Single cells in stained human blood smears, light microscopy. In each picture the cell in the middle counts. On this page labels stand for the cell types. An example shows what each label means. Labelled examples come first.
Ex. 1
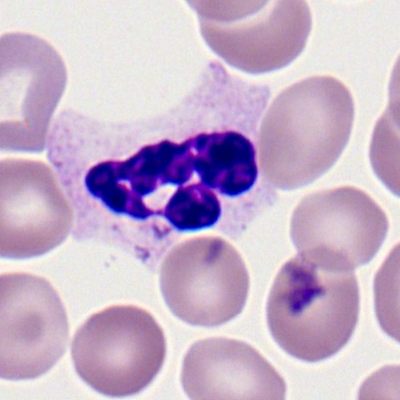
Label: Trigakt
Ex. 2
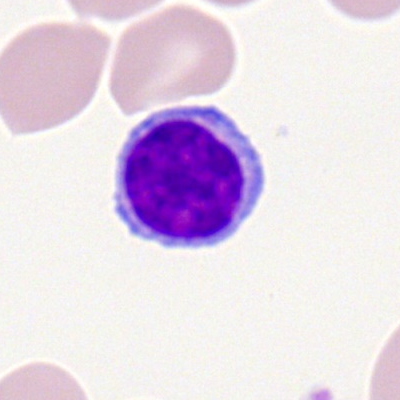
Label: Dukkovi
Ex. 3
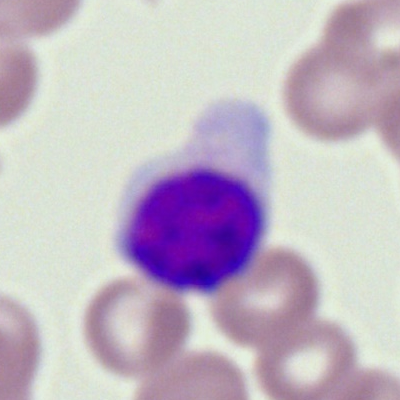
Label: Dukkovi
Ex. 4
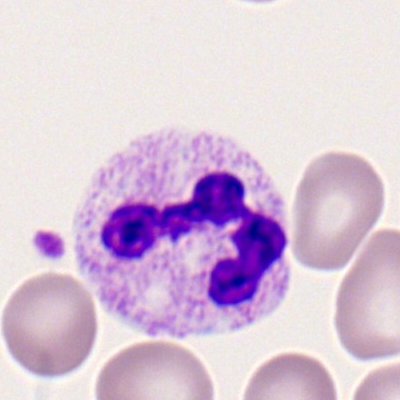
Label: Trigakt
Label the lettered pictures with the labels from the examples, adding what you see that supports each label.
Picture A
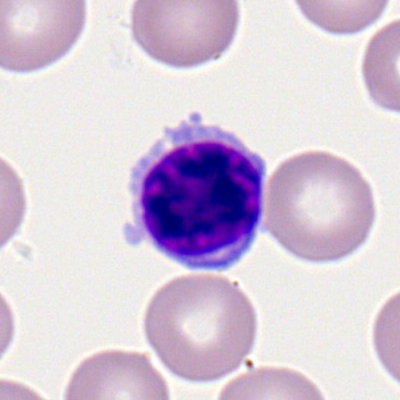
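Dukkovi. Reason: The cytoplasm forms only a thin rim around the nucleus.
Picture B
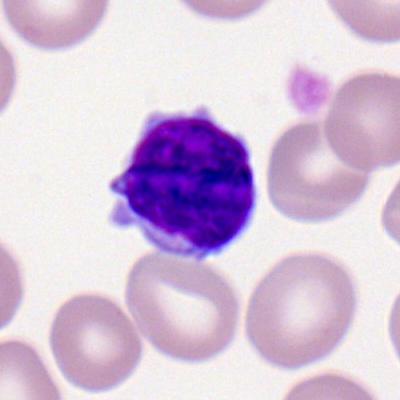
Dukkovi. Reason: The nucleus fills almost the whole cell.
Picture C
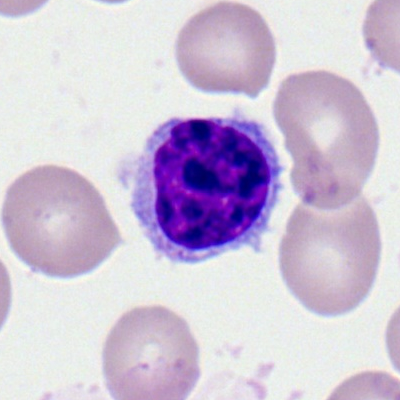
Dukkovi. Reason: The cytoplasm forms a narrow rim that is widest on the left side.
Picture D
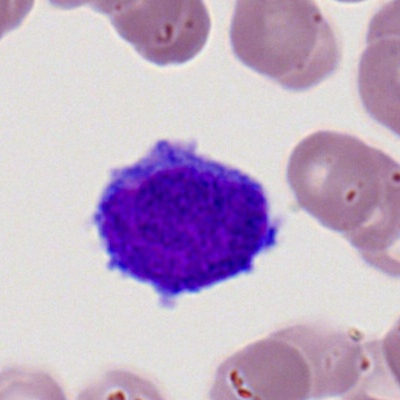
Dukkovi. Reason: The nucleus fills most of the cell.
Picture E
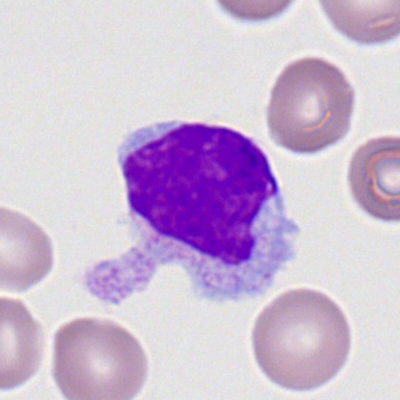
Dukkovi. Reason: The nucleus is a single unlobed mass.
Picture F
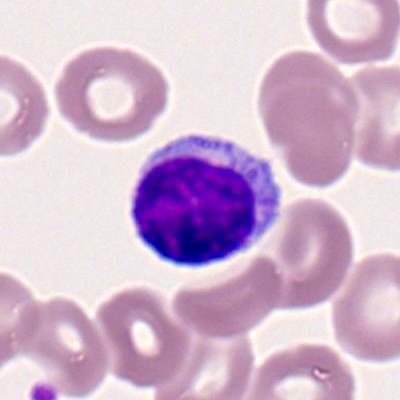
Dukkovi. Reason: The nucleus fills most of the cell.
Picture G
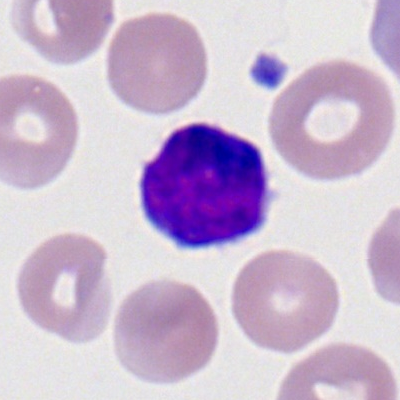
Dukkovi. Reason: The cytoplasm is scant, at most a thin rim at the edge of the nucleus.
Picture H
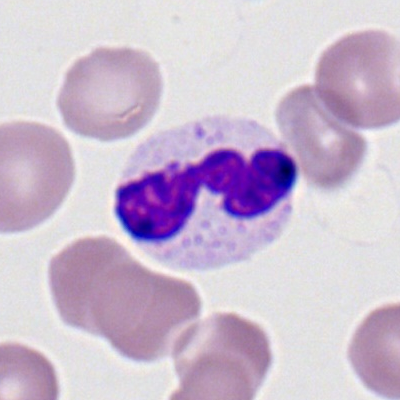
Trigakt. Reason: The cytoplasm is plentiful and pale pinkish-lilac.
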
